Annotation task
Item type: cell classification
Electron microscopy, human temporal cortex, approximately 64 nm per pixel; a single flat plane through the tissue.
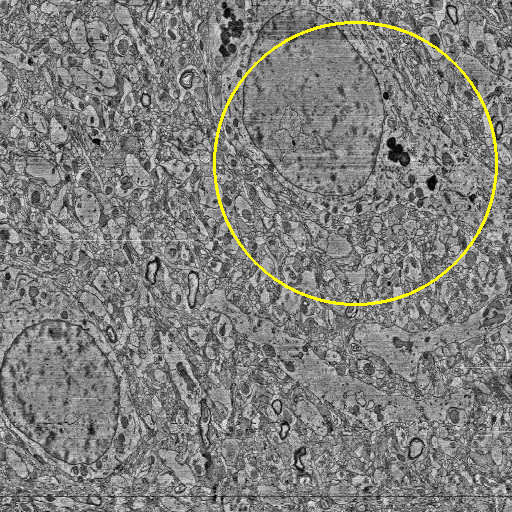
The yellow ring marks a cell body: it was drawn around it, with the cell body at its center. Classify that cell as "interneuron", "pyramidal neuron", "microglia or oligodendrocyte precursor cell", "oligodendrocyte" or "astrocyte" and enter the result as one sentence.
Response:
The ring's center falls on a pyramidal neuron.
